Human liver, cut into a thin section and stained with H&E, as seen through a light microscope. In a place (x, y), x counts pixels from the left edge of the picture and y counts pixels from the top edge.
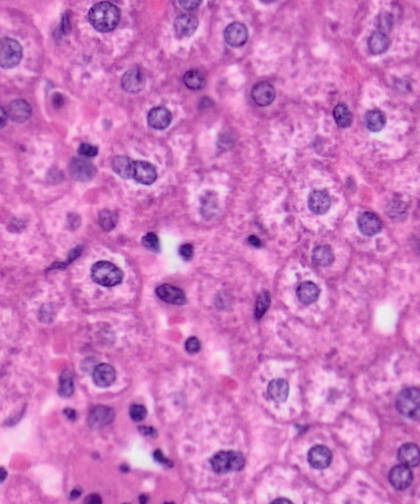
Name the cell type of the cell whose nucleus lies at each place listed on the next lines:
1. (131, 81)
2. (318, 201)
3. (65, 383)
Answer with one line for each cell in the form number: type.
1: hepatocyte
2: hepatocyte
3: Kupffer cell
